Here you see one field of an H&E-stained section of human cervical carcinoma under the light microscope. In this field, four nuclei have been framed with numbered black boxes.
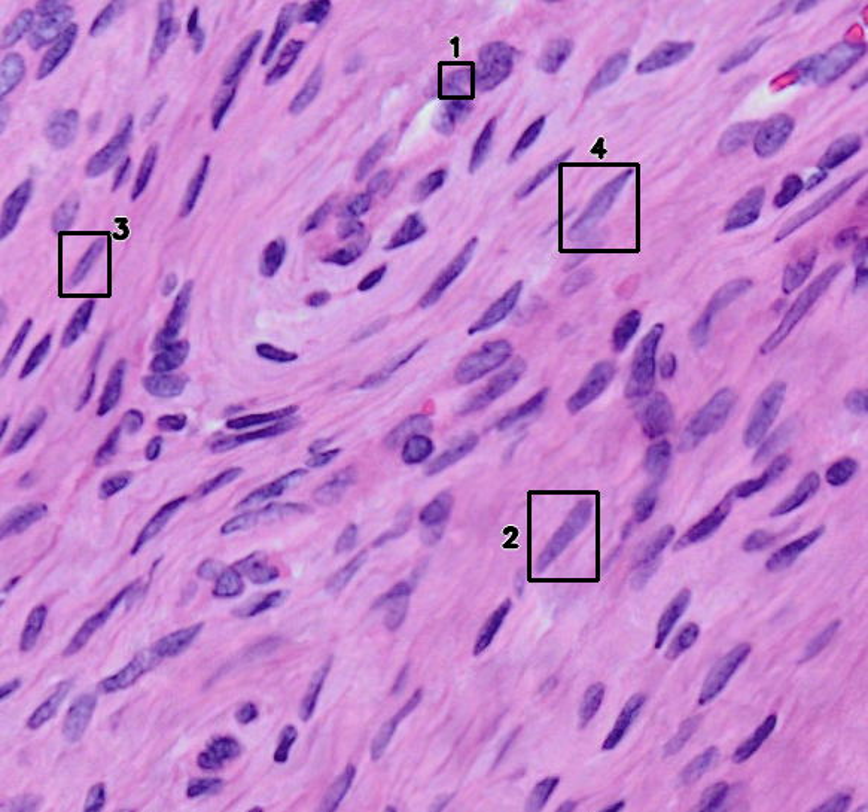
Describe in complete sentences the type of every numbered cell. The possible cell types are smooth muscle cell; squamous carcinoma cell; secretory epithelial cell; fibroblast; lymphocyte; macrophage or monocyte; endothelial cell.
Cell 1 is an endothelial cell. Cells 2, 3 and 4 are fibroblasts.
